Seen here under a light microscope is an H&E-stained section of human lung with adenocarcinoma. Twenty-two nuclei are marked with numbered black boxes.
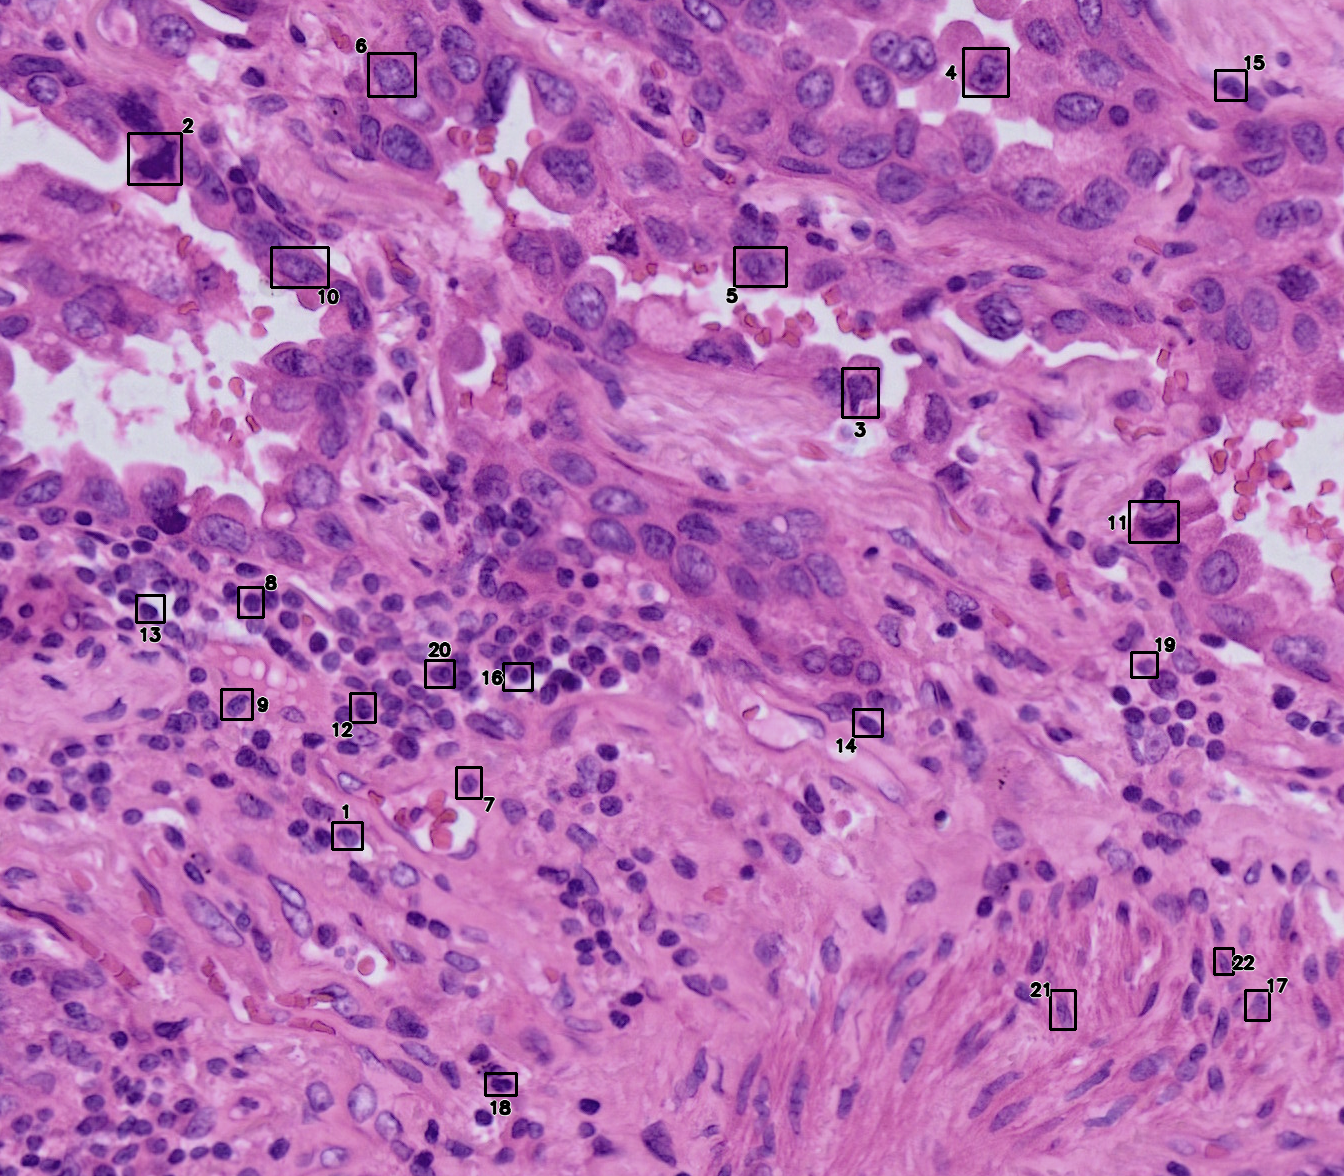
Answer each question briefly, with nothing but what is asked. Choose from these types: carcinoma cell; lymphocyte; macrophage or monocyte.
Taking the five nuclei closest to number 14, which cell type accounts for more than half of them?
macrophage or monocyte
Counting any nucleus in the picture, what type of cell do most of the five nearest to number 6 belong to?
carcinoma cell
